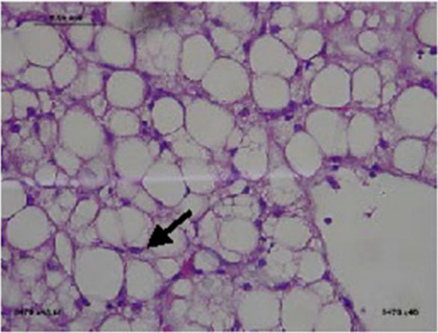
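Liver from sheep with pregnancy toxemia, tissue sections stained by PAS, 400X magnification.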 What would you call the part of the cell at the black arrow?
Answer: nuclei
